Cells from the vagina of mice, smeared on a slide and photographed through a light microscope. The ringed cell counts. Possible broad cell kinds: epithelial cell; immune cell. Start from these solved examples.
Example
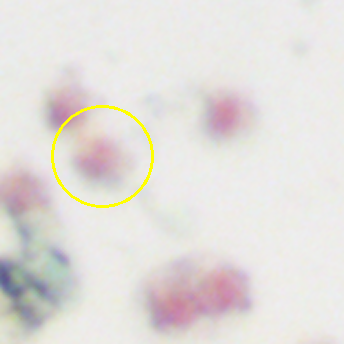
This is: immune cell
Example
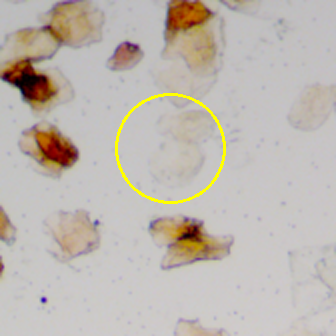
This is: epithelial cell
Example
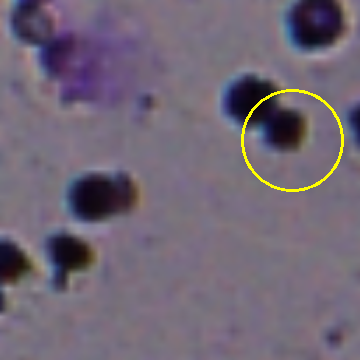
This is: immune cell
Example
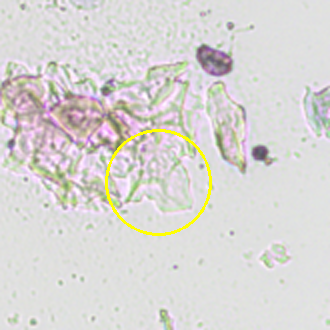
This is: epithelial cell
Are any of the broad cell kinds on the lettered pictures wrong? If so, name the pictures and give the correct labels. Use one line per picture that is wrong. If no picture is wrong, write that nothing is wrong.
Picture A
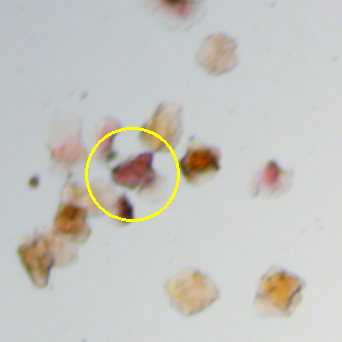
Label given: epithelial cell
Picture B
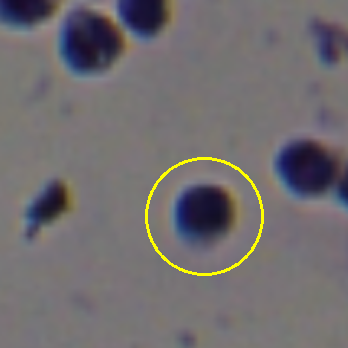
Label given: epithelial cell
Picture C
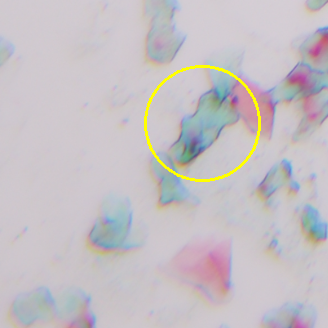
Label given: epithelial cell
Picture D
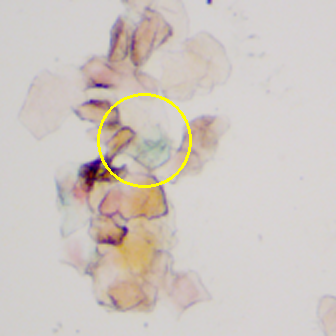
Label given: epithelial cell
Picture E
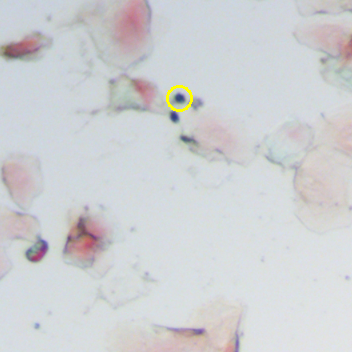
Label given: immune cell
B should be immune cell, not epithelial cell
